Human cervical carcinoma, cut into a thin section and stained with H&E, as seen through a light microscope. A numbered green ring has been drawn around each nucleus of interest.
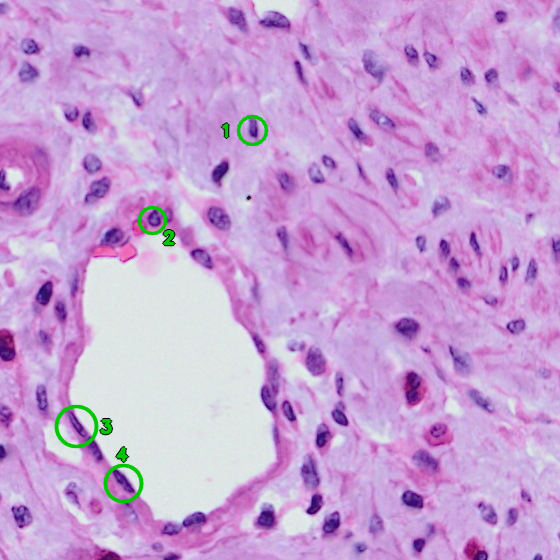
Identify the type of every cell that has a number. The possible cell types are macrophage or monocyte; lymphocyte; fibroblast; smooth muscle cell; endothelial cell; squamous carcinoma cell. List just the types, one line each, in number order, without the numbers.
fibroblast
endothelial cell
endothelial cell
endothelial cell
